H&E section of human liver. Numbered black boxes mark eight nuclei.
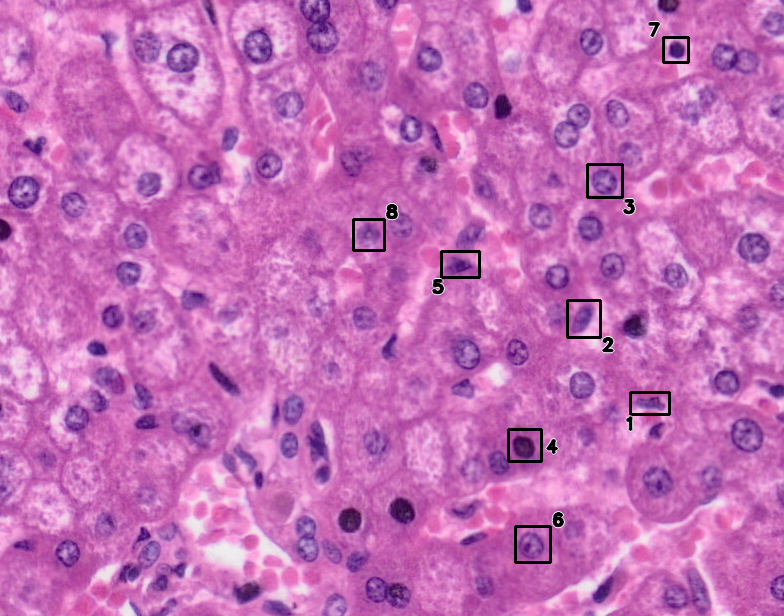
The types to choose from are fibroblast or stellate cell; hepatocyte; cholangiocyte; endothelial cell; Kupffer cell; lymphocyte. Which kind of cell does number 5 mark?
fibroblast or stellate cell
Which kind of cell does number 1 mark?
endothelial cell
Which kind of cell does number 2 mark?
Kupffer cell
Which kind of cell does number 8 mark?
hepatocyte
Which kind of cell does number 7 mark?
lymphocyte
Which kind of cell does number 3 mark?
hepatocyte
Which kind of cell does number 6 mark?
hepatocyte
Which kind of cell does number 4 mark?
hepatocyte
